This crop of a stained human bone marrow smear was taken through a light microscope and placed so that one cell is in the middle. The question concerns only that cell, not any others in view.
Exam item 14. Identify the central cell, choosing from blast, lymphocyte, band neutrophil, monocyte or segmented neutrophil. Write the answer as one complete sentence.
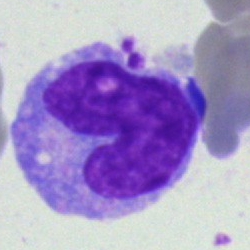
For this crop, the cell in the middle is a monocyte.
